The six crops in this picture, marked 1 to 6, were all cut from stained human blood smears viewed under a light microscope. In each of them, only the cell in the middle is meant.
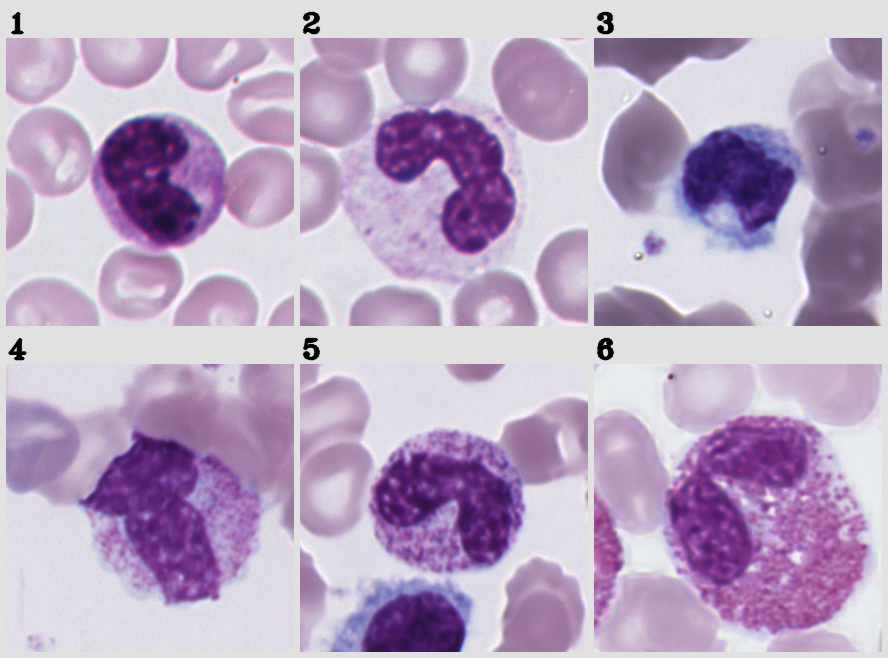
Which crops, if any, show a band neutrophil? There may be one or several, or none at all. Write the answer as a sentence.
Crops 1, 2, 4 and 5 are designated as showing band neutrophils.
